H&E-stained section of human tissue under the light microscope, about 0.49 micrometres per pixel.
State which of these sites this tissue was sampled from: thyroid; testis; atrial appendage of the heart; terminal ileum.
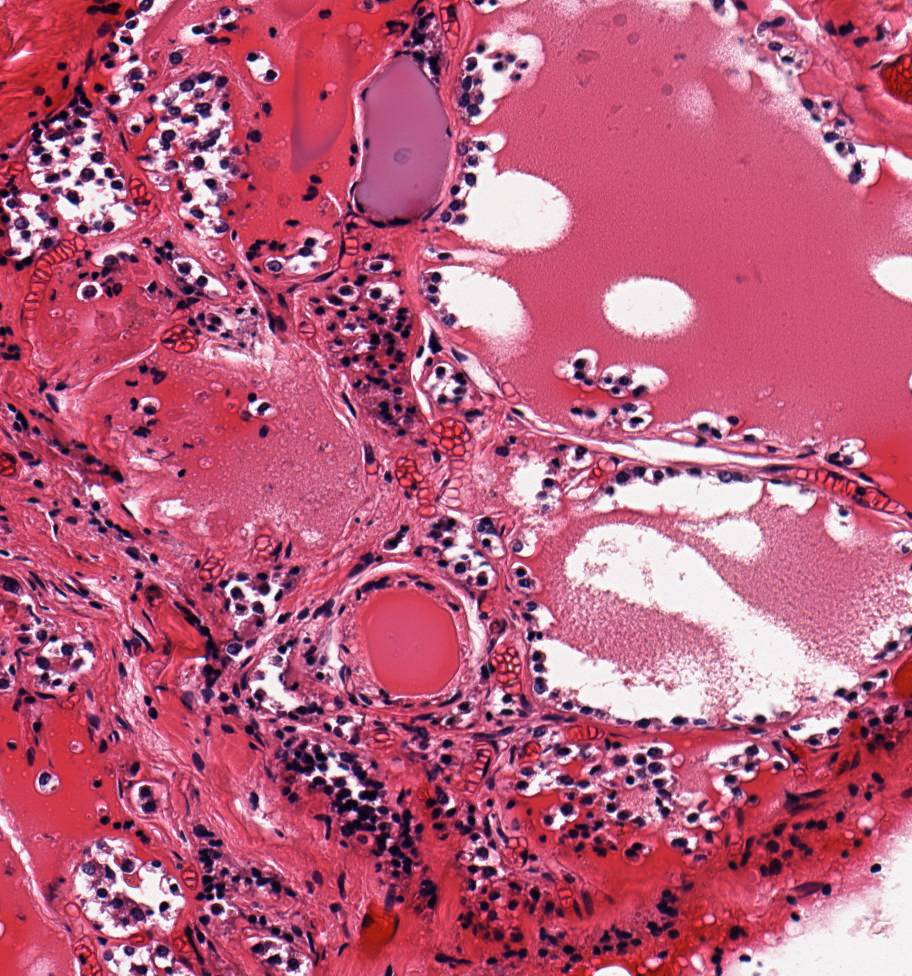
thyroid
